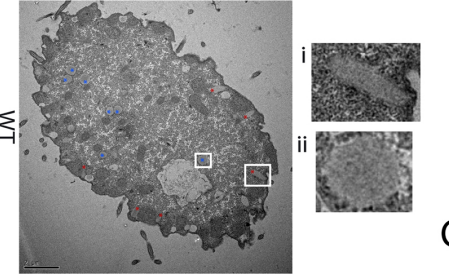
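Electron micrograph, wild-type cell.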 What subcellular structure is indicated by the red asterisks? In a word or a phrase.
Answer: Docked mature mucocysts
